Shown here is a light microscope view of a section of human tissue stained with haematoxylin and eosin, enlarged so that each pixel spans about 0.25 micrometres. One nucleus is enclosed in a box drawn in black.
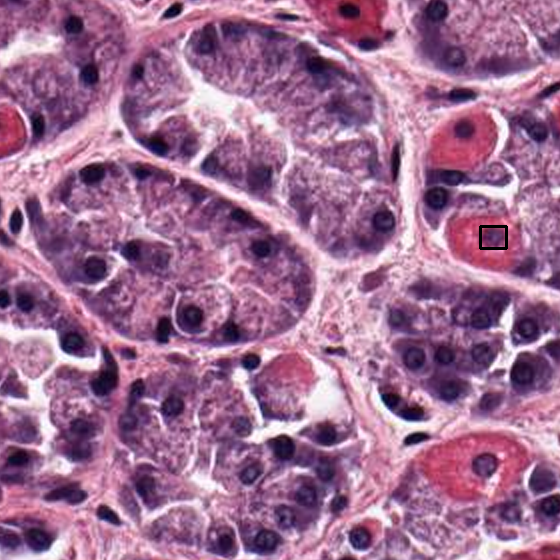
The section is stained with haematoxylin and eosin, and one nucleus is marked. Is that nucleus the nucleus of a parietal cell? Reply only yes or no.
yes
